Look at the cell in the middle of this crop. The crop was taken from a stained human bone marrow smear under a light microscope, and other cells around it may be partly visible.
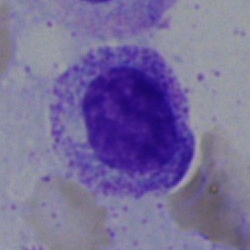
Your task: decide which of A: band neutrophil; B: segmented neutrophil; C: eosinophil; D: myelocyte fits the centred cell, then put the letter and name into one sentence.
Here the central cell is a myelocyte, and option D is correct.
